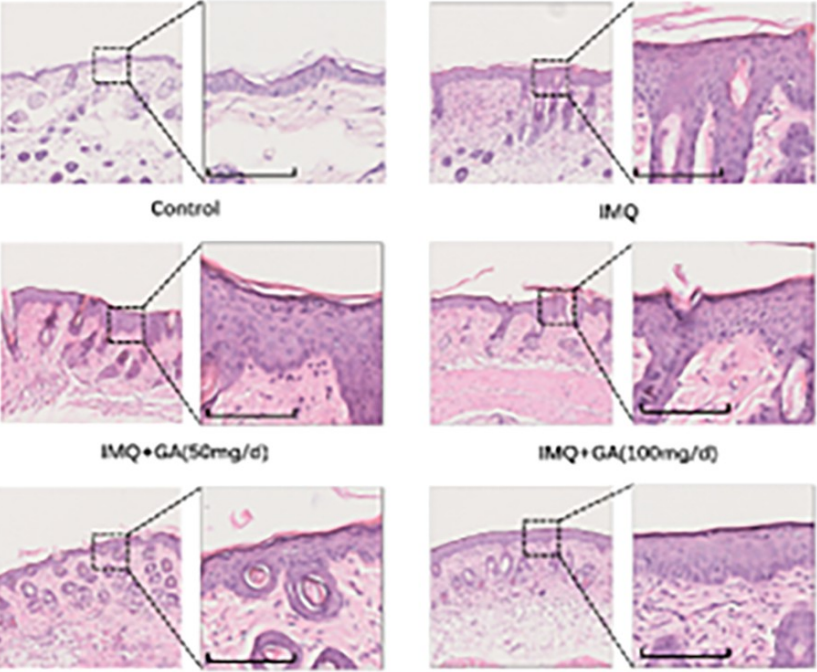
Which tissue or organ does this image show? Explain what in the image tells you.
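Skin. A dark purple surface cell layer lies over paler pink connective tissue. Hair follicles appear as round and elongated structures in the deeper pink tissue. A thin pink flaky layer covers the outer surface.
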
